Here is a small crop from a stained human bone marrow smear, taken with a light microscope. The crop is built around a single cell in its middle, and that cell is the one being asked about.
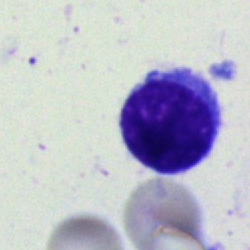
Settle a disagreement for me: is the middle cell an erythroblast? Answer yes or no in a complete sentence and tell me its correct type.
No, the cell in the middle is a lymphocyte, not an erythroblast.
